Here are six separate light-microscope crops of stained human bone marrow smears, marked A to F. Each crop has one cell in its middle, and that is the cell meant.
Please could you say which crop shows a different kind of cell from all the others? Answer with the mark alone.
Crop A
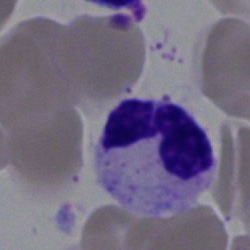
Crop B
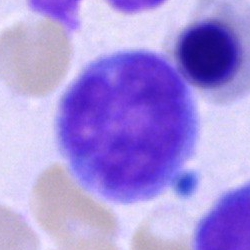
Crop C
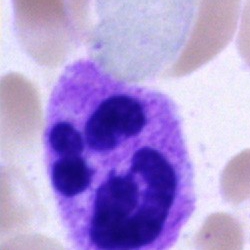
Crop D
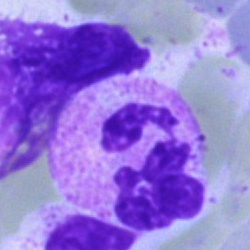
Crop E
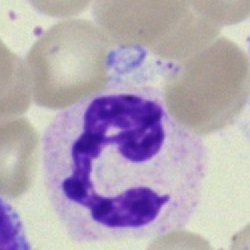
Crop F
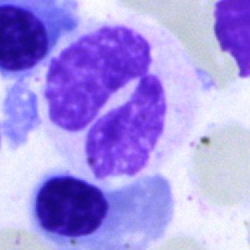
B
